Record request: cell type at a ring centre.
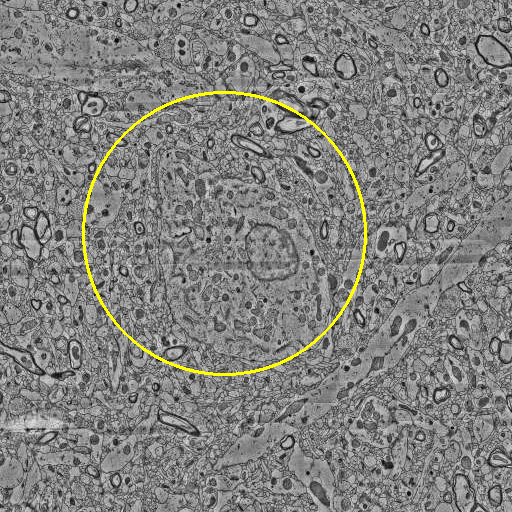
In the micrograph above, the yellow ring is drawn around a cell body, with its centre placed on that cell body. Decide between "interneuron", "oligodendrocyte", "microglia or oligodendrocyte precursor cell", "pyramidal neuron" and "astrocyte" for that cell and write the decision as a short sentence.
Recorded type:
The cell centred in the yellow ring is an interneuron.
